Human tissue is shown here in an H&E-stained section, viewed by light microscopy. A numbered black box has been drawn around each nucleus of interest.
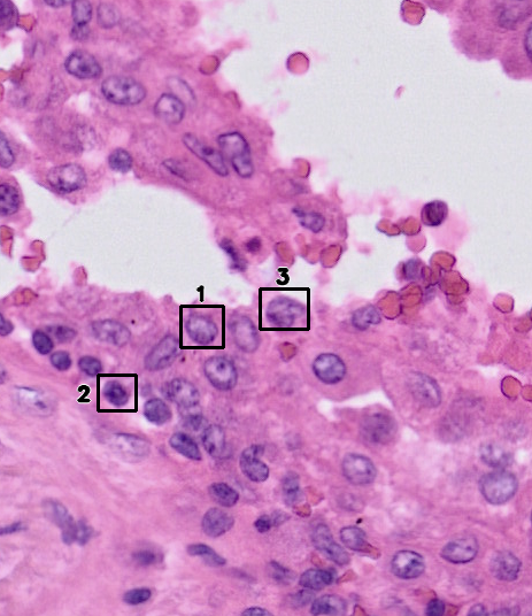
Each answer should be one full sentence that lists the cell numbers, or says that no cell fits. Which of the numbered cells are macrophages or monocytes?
The cells numbered 1 and 3 fall into the category of macrophages or monocytes.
